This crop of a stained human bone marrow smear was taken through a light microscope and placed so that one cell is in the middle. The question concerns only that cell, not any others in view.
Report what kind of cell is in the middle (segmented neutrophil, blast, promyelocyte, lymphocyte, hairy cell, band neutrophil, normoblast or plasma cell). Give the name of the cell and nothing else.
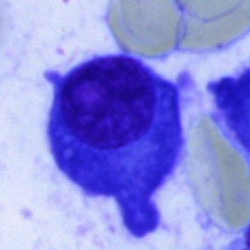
plasma cell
